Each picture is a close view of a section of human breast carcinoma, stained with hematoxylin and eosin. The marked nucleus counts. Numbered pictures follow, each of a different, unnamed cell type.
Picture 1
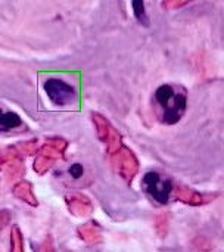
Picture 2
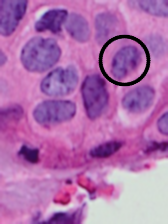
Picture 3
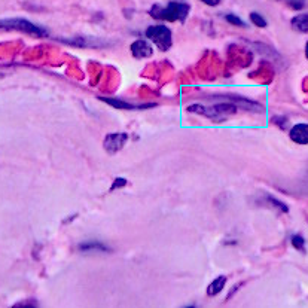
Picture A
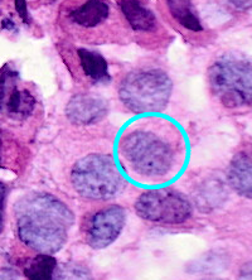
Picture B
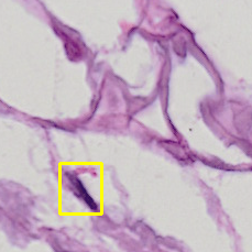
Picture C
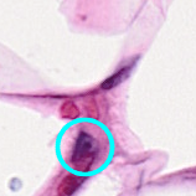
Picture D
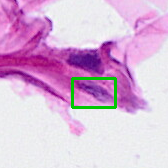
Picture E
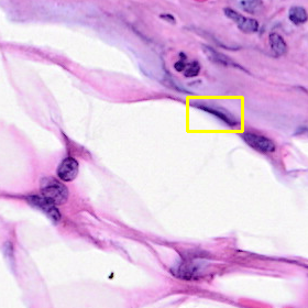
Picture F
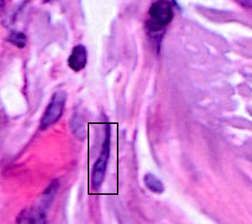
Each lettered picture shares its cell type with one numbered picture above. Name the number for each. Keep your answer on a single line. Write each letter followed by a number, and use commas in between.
A 2, B 1, C 3, D 3, E 1, F 1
